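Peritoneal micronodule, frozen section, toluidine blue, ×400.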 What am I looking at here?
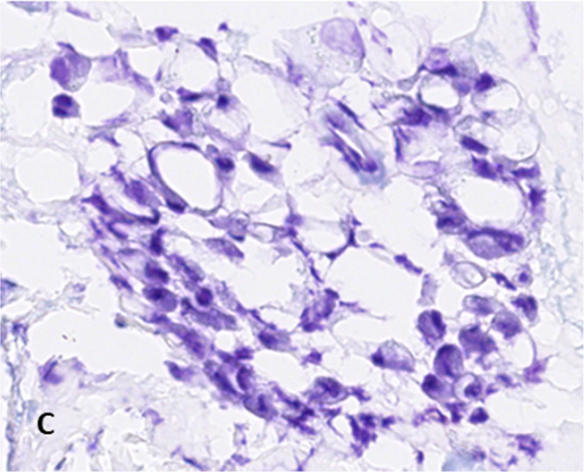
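A cluster of signet ring-like cells stained purple-blue, many with a clear rounded vacuole and a dark nucleus displaced to the edge. The cells lie crowded together within a loose, pale background.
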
